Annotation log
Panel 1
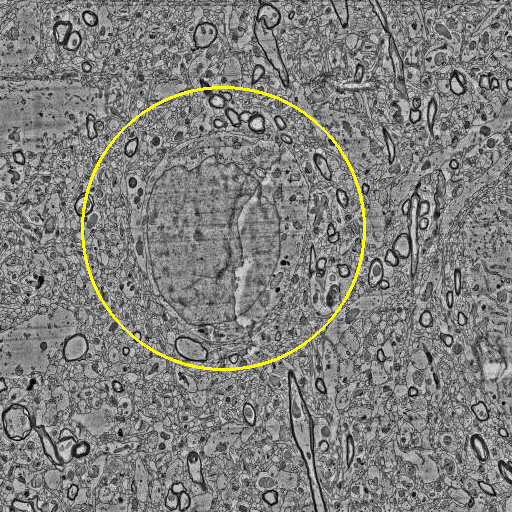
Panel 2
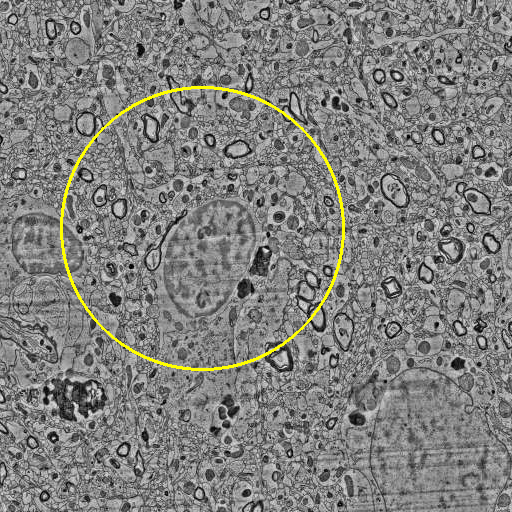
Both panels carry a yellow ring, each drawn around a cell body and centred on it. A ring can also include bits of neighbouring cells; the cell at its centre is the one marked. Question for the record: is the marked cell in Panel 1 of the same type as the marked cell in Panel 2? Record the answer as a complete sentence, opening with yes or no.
No, the marked cells in Panel 1 and Panel 2 are of two types.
